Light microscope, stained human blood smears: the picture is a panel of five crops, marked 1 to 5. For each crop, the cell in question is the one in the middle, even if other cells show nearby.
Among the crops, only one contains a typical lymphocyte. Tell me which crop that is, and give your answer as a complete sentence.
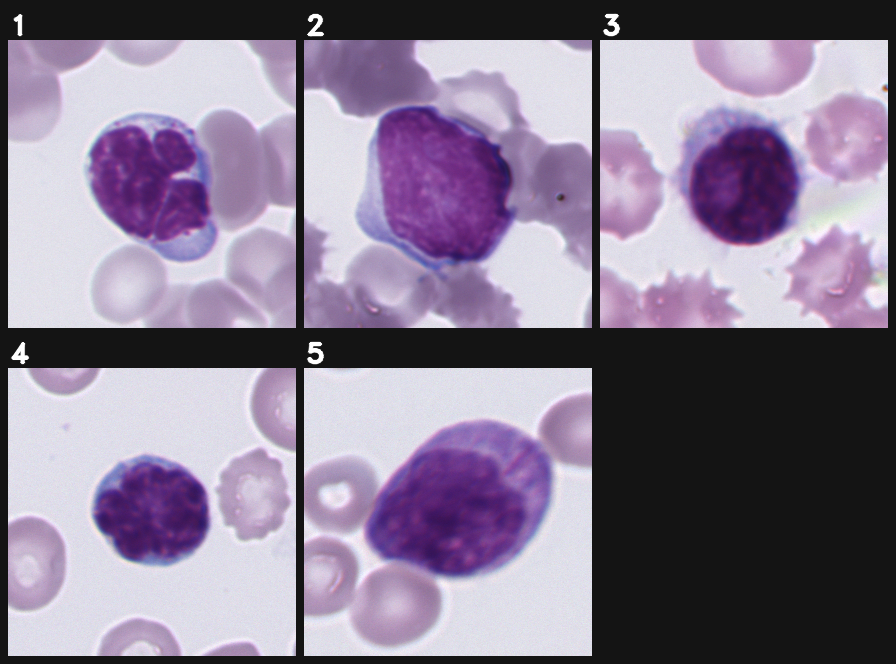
Of the labeled crops, the one with a typical lymphocyte is crop 4.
